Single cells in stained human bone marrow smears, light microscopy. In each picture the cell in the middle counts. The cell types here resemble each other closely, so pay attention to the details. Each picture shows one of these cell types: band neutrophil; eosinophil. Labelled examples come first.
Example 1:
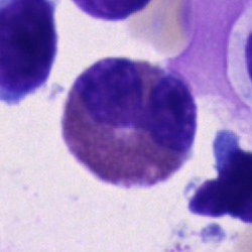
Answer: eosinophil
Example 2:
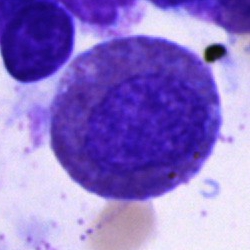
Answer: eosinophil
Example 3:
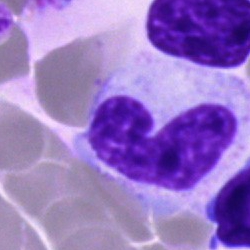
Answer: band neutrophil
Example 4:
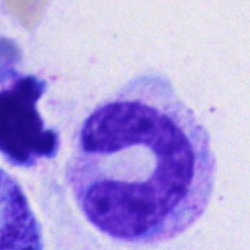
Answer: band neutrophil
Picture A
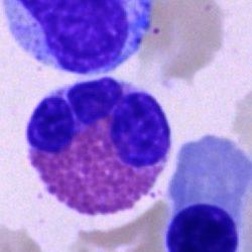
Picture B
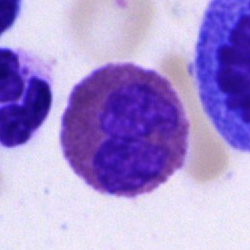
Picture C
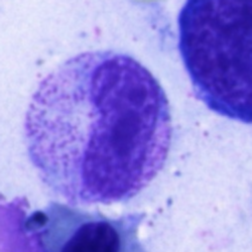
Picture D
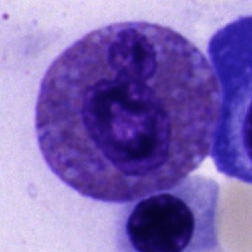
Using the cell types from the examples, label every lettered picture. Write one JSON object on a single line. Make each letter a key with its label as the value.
{"A": "eosinophil", "B": "eosinophil", "C": "band neutrophil", "D": "eosinophil"}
